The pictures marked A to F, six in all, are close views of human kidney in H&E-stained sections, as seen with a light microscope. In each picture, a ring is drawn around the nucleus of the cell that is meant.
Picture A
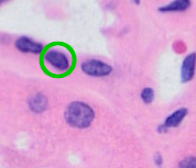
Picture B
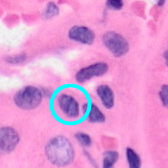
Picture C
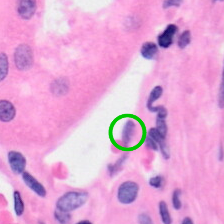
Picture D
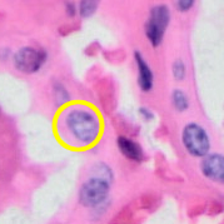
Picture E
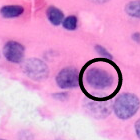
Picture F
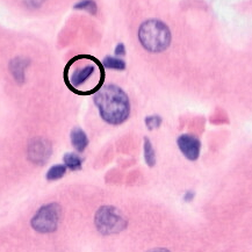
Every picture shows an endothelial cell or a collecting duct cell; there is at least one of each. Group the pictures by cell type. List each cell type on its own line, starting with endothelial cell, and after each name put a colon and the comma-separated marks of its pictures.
endothelial cell: C, F
collecting duct cell: A, B, D, E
